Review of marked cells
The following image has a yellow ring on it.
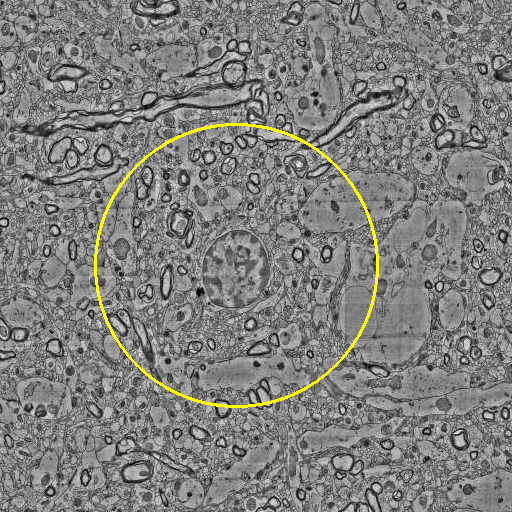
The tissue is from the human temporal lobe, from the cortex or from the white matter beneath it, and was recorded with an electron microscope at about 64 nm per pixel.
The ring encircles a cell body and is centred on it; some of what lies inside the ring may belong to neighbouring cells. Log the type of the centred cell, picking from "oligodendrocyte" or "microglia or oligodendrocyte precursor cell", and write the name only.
microglia or oligodendrocyte precursor cell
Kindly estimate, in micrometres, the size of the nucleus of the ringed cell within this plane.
The nucleus measures about 5 by 4 micrometres in this plane.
